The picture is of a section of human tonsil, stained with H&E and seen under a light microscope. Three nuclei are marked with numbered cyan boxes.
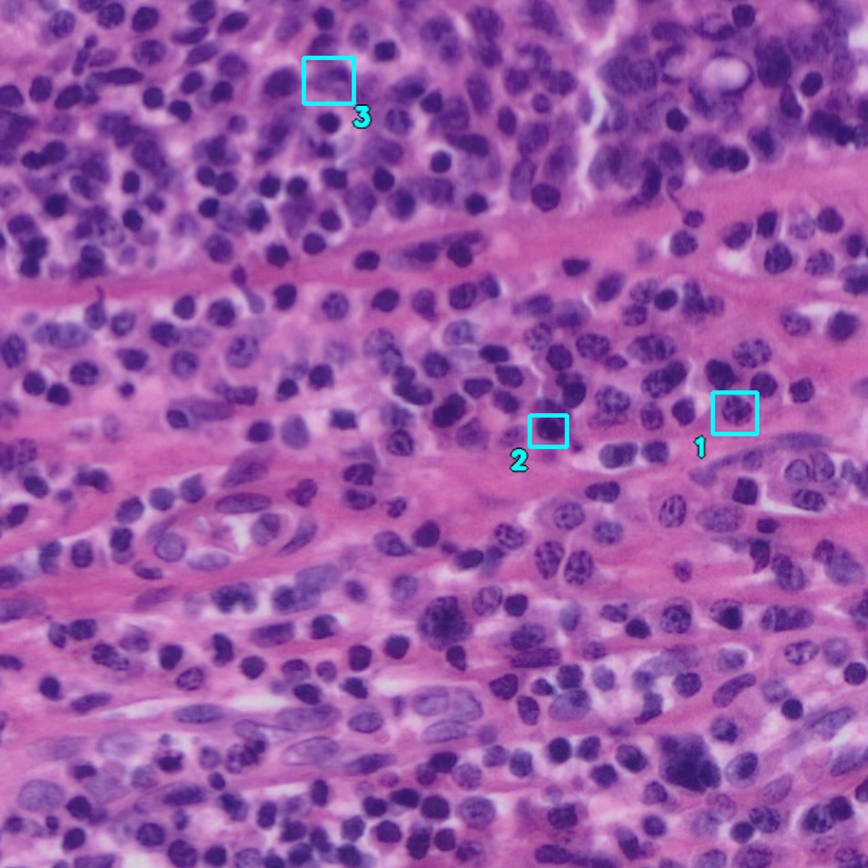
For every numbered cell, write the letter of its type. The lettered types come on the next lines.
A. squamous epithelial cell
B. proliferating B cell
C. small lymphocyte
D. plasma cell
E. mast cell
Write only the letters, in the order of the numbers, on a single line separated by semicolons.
D; D; A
